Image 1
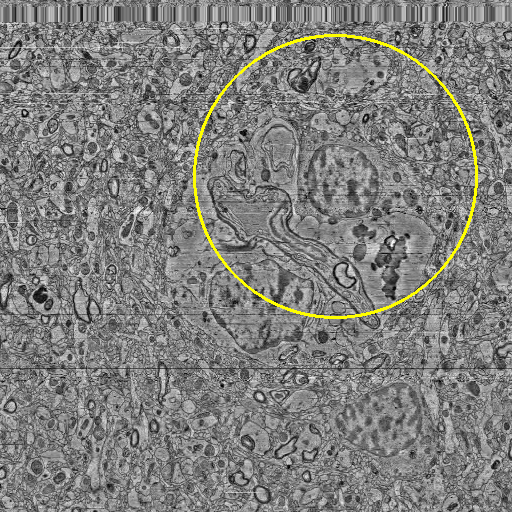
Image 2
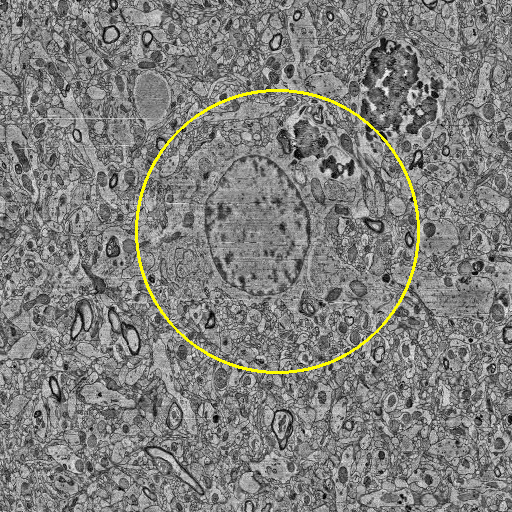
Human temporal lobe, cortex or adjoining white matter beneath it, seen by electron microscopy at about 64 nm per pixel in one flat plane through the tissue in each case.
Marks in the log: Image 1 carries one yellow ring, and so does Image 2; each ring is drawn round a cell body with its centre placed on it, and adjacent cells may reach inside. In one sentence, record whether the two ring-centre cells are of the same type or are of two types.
The two cells at the ring centres, one in each image, are of two types.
